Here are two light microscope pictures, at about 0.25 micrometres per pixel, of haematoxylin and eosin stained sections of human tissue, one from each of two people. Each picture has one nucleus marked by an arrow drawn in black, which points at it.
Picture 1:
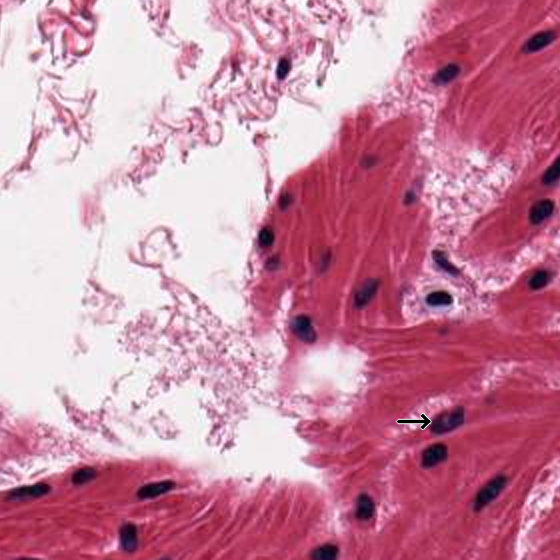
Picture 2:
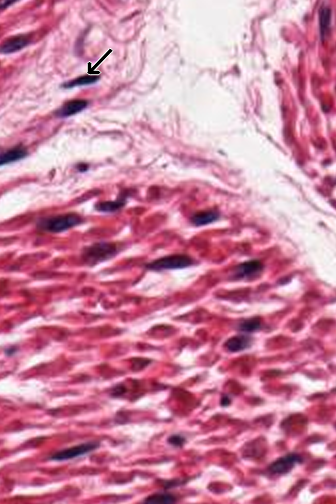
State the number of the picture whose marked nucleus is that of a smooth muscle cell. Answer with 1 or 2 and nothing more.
1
